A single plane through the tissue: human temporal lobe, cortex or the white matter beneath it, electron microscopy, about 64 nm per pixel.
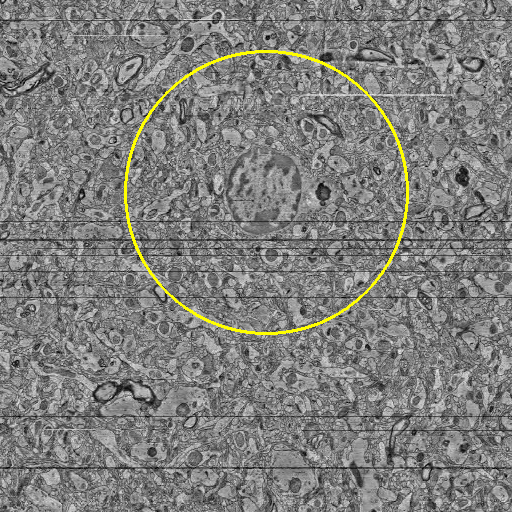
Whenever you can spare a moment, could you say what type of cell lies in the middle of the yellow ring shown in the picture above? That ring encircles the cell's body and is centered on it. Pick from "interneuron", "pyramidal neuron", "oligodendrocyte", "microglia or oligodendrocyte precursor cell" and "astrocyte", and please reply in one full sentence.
The cell whose body sits at the middle of the yellow ring is an oligodendrocyte.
